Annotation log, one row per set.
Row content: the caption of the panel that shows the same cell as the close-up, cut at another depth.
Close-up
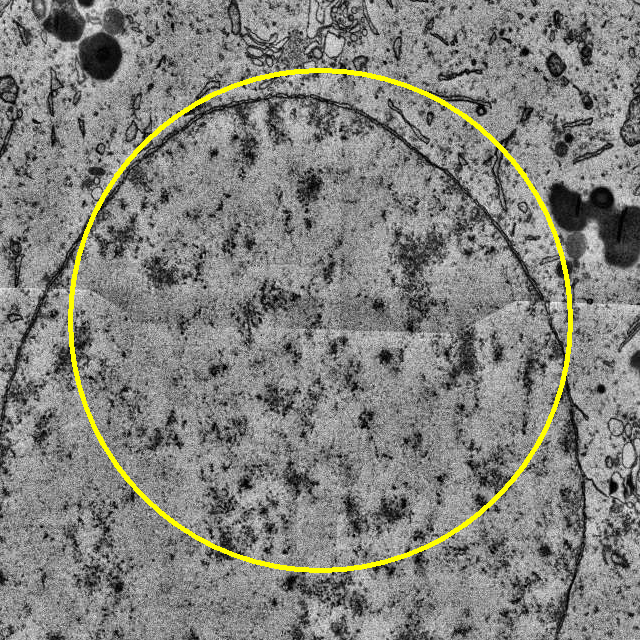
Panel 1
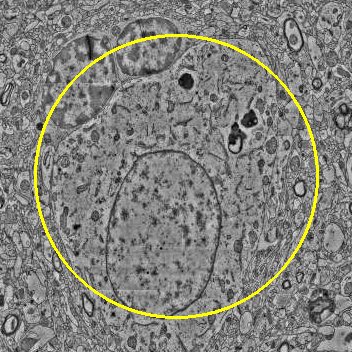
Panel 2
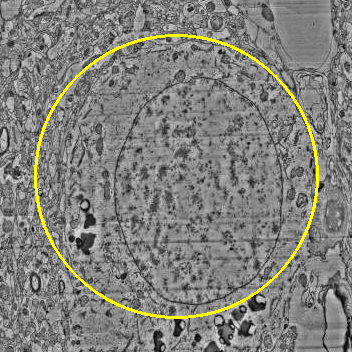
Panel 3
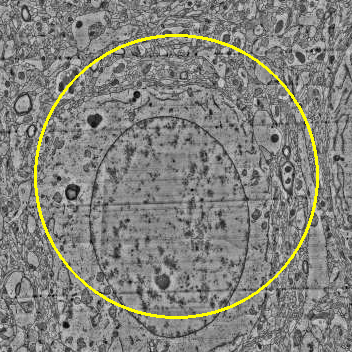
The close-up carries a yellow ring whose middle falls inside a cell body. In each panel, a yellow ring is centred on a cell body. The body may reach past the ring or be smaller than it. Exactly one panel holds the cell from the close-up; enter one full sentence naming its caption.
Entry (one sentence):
The ringed cell whose close-up is shown lies in Panel 1.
